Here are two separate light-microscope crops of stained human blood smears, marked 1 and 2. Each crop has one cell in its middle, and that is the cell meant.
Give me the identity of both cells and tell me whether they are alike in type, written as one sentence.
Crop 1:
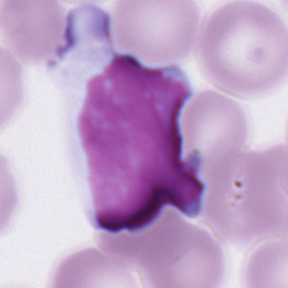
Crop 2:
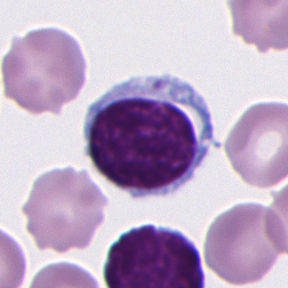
Yes, both crops have typical lymphocytes at the centre.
